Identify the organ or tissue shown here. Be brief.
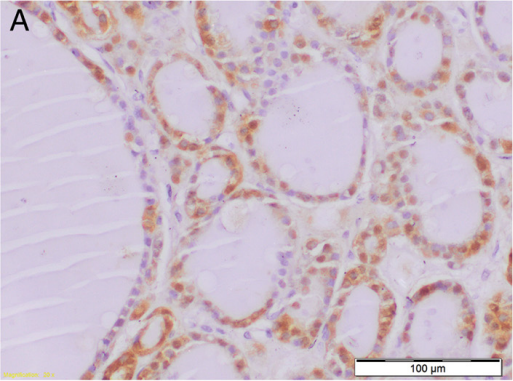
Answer: normal thyroid cells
